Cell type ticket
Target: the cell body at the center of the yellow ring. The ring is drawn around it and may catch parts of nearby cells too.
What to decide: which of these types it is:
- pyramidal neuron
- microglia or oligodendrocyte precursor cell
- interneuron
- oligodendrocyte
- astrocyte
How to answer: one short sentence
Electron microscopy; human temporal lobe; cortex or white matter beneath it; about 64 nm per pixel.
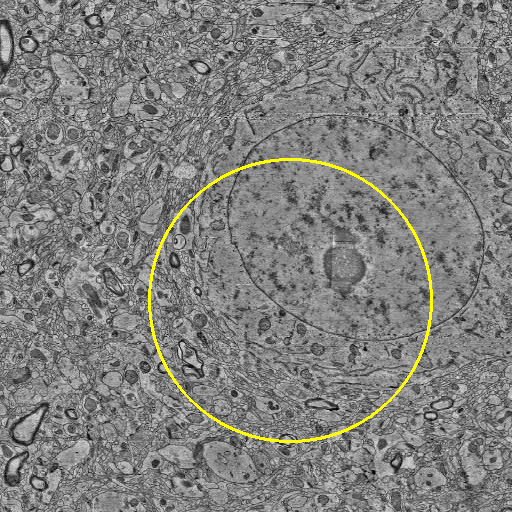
The cell at the center of the ring is a pyramidal neuron.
